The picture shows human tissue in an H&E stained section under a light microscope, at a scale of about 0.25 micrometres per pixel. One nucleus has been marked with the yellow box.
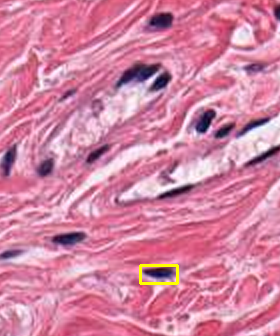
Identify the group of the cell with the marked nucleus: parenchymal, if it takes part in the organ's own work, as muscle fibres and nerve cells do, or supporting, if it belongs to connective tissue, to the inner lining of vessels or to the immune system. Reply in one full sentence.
The marked nucleus is identified as belonging to a supporting cell.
